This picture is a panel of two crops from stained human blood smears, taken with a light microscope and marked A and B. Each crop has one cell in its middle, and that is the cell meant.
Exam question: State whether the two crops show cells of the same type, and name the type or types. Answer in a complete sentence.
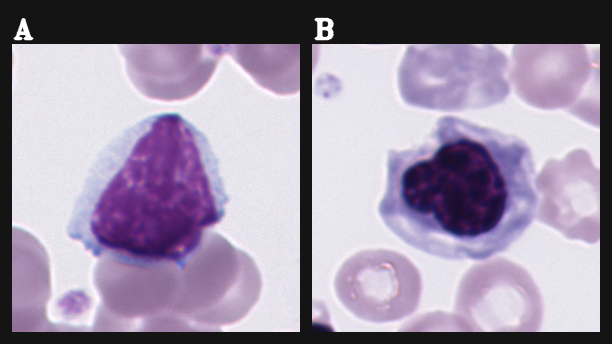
No, what crop A shows is a typical lymphocyte, and what crop B shows is a normoblast.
